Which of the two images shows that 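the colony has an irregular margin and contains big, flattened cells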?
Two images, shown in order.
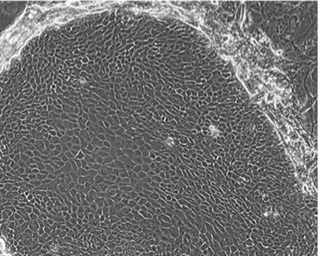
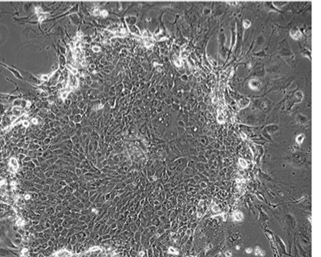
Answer: The second image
